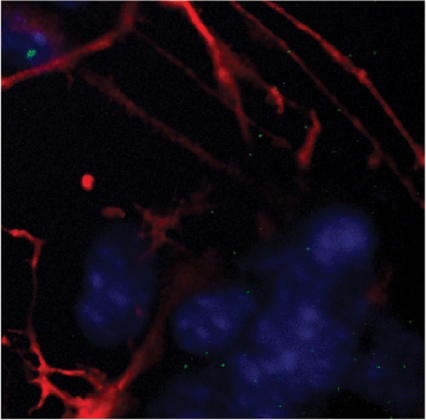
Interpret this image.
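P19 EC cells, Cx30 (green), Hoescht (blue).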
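Here a cluster of cells with blue nuclei lies at the bottom, while long red neuritic extensions cross the upper part of the field. The processes are thin and long, some running roughly parallel and others branching into fine tips. The nuclei in the cluster are rounded and crowded, with brighter spots within them. Tiny green dots are scattered over the cluster and between the processes. The red processes reach well away from the cell bodies into the otherwise dark space.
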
